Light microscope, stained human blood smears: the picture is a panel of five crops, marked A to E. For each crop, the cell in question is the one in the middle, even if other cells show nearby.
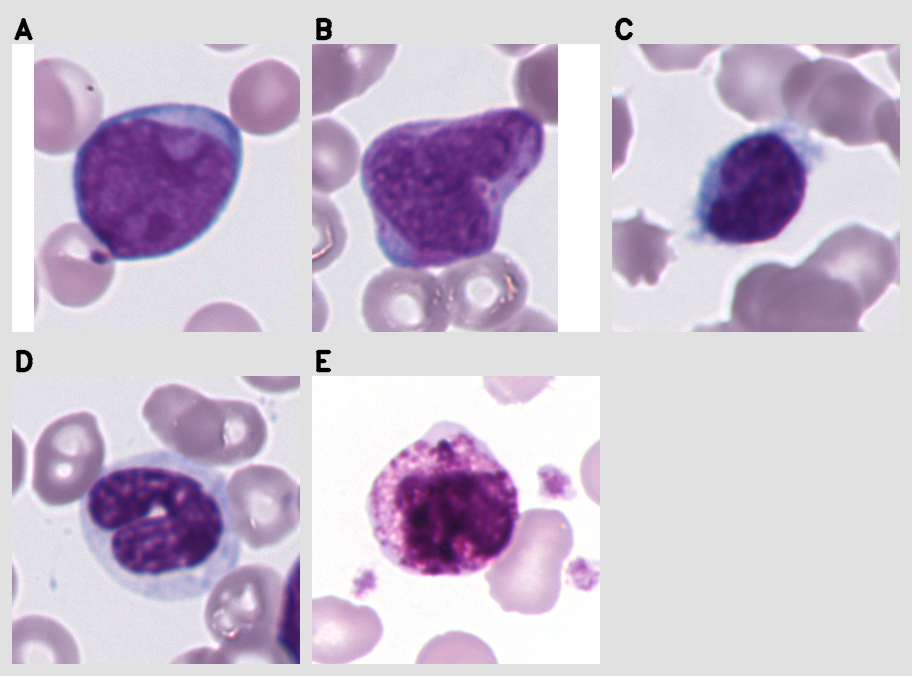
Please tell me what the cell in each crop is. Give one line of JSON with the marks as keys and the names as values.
{"A": "myeloblast", "B": "atypical promyelocyte", "C": "hairy cell", "D": "band neutrophil", "E": "basophil"}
